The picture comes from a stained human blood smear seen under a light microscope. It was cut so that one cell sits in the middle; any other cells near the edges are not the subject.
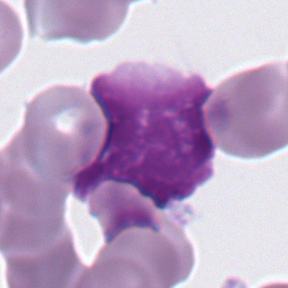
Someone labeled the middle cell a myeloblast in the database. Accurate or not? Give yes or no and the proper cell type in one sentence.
No, the centred cell is a smudge cell instead of a myeloblast.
